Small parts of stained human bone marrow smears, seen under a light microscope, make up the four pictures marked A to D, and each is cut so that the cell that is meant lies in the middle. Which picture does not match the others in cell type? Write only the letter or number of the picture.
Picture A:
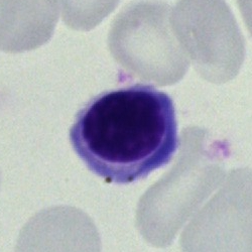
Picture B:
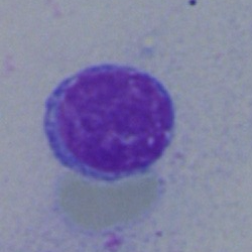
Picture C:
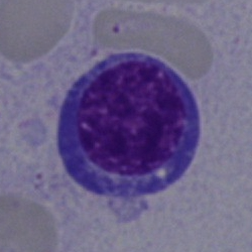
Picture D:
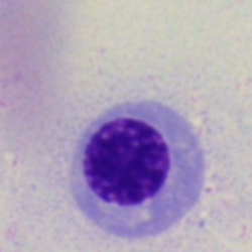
B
